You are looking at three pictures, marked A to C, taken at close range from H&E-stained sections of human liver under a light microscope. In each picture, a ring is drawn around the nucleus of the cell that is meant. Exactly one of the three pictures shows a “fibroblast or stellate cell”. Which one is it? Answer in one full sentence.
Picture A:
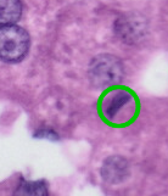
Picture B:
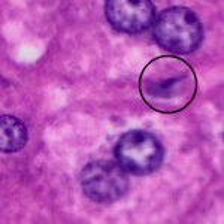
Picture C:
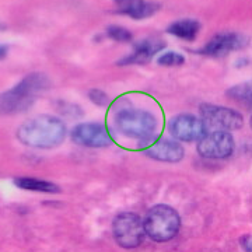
The “fibroblast or stellate cell” is the one in picture A.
